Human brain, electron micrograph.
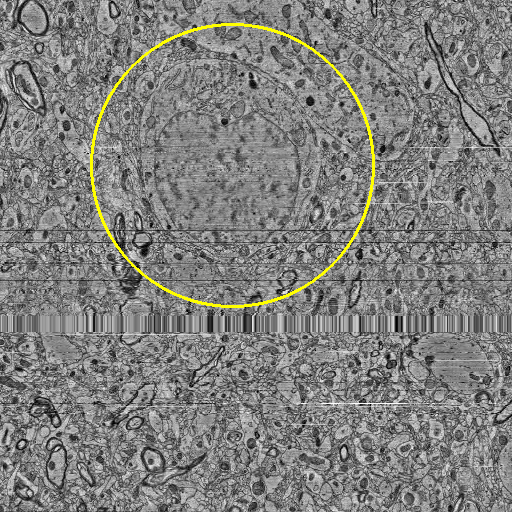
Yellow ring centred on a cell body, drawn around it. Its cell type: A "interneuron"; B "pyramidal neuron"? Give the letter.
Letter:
A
